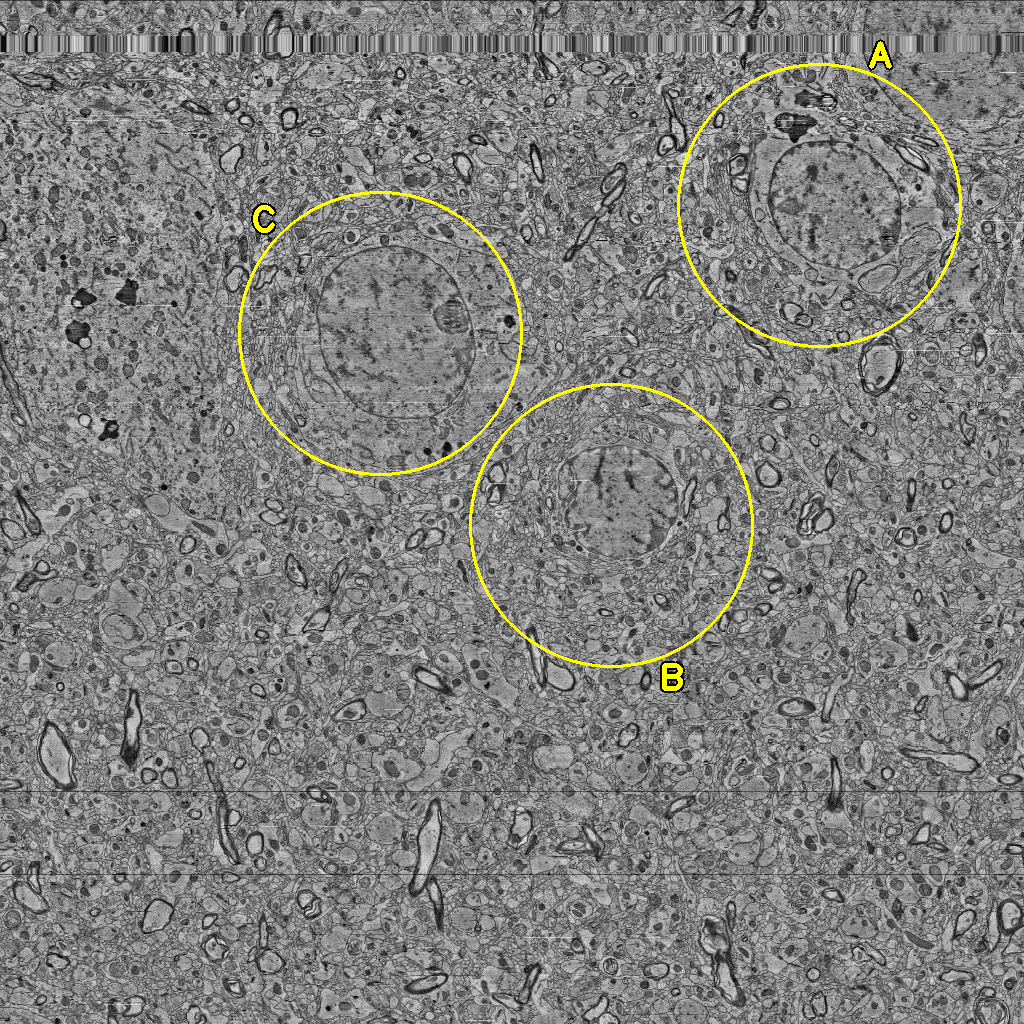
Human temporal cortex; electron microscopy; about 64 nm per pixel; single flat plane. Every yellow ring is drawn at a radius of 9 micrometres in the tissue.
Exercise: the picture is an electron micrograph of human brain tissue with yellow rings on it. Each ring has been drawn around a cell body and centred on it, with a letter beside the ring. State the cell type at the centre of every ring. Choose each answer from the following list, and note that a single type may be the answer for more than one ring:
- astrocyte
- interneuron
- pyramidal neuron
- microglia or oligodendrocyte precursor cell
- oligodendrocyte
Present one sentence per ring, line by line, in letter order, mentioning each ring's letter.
Ring A shows an astrocyte at its centre.
Ring B shows a microglial cell or oligodendrocyte precursor cell at its centre.
Ring C shows a pyramidal neuron at its centre.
